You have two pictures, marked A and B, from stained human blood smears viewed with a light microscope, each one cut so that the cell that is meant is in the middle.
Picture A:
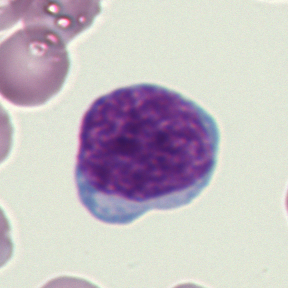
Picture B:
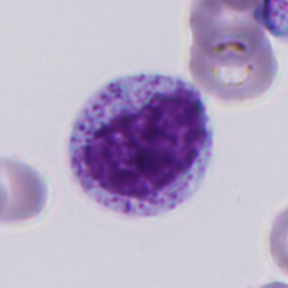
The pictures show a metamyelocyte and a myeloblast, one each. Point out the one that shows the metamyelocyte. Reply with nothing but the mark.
B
